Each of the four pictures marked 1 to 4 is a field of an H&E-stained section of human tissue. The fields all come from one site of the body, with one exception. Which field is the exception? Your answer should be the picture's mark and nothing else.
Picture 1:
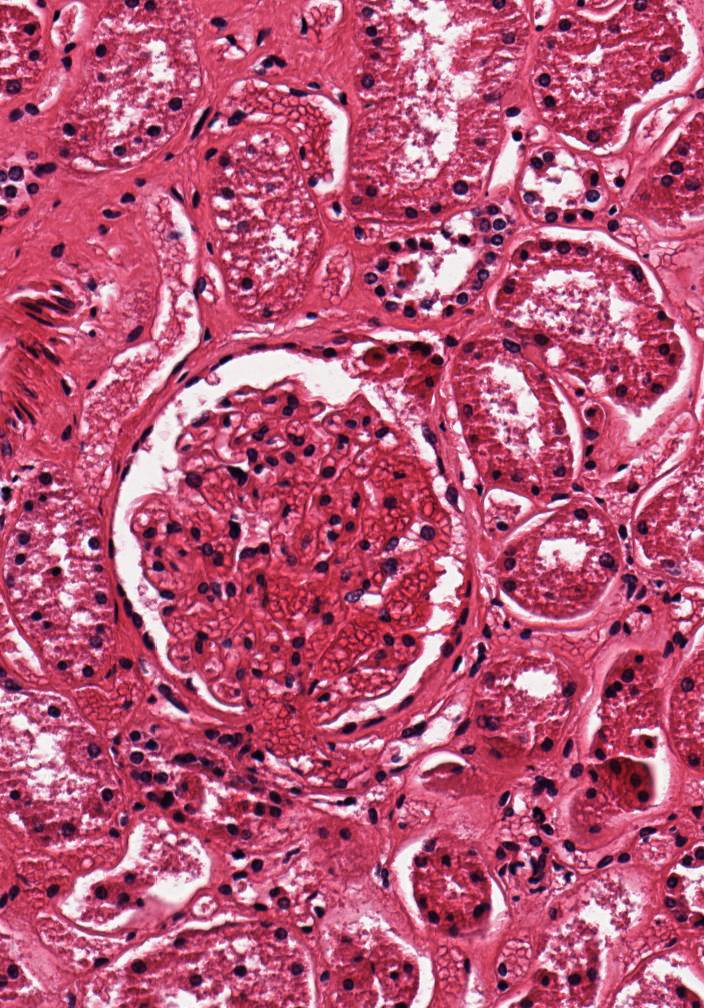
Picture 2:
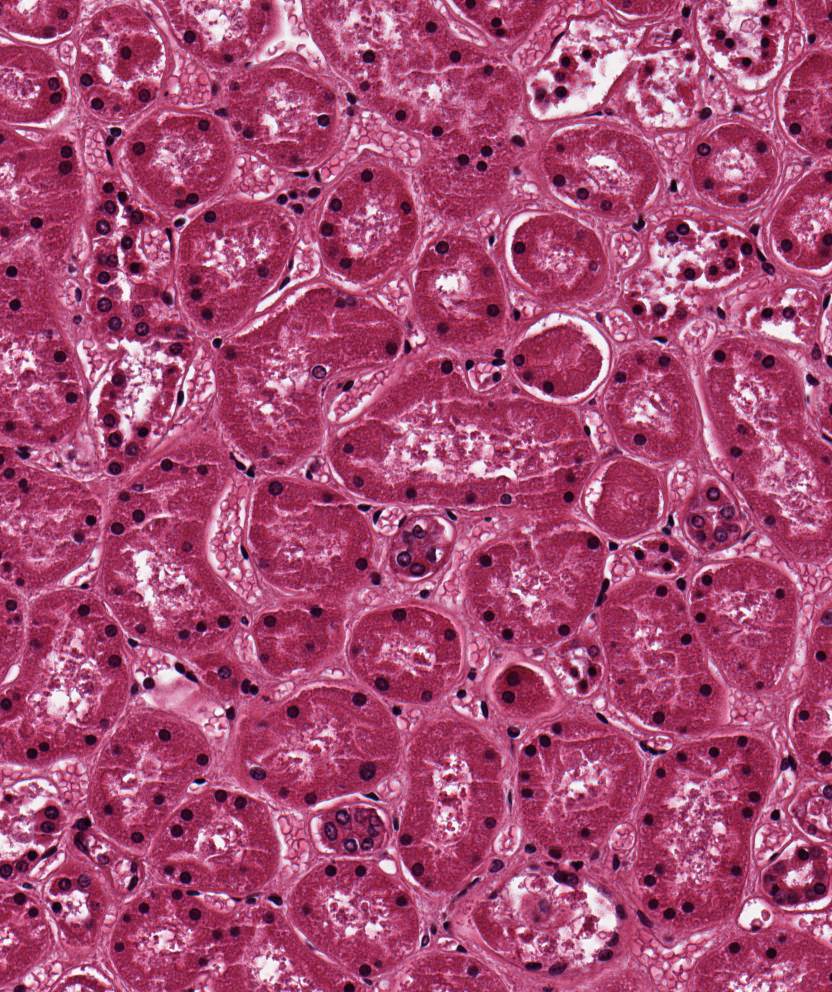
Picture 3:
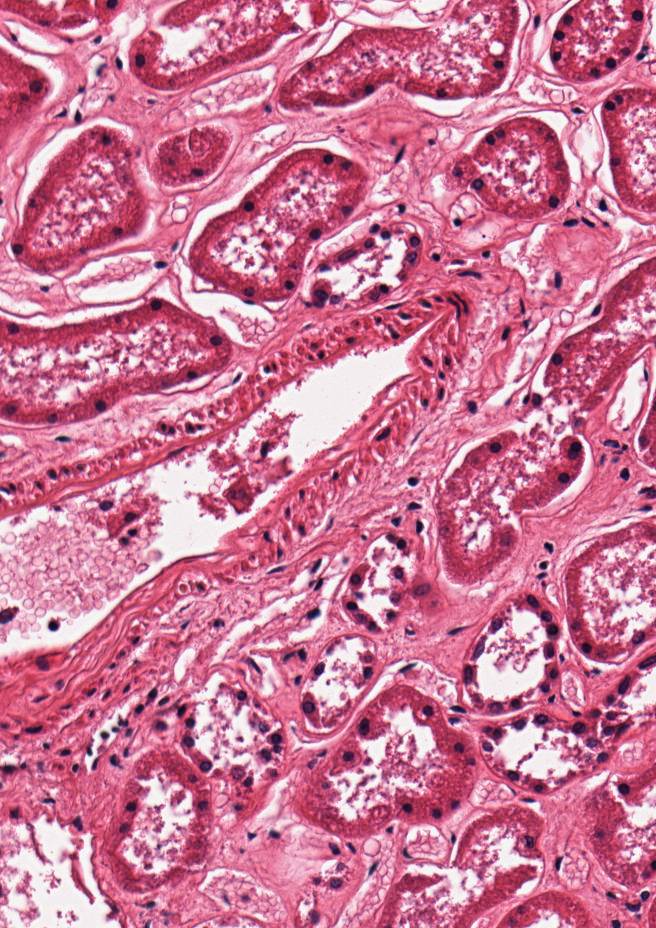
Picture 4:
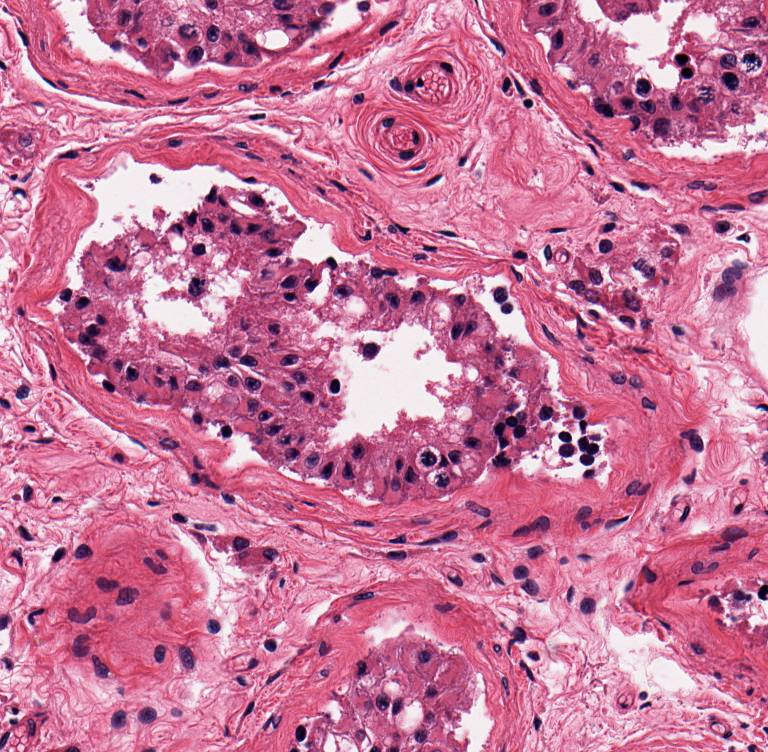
4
